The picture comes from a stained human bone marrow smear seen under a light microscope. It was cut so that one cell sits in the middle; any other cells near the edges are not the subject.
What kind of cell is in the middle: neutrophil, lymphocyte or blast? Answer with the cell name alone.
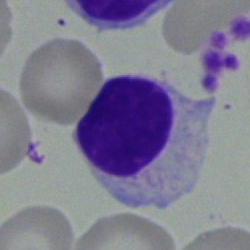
lymphocyte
